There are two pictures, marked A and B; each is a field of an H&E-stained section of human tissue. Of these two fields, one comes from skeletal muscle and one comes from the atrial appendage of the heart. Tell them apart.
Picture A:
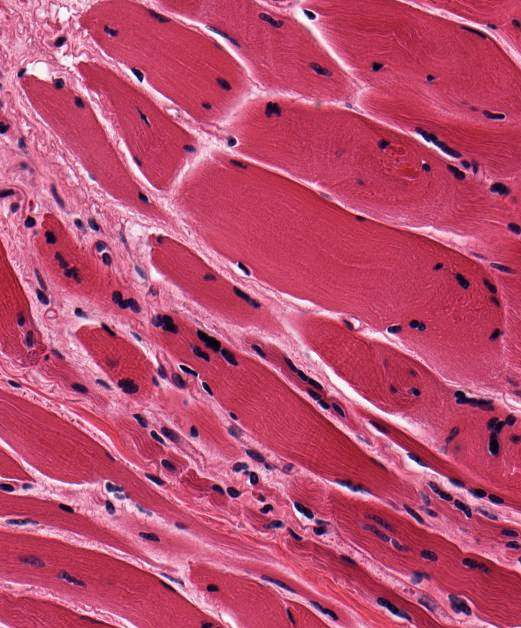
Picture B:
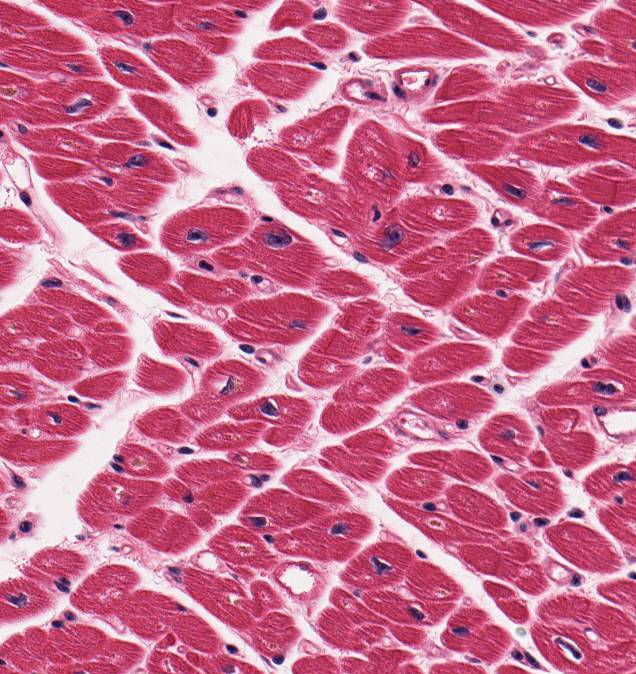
A: skeletal muscle
B: atrial appendage of the heart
